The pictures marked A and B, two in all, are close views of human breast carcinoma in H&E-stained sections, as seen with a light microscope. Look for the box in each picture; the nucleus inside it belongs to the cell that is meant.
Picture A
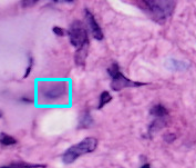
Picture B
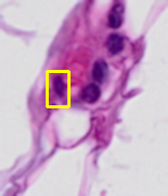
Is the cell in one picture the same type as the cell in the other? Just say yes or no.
yes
